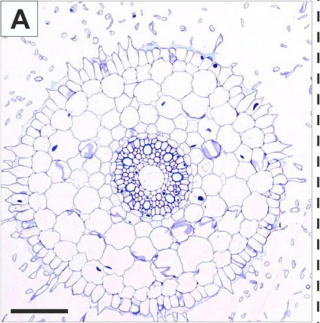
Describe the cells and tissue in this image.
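This is a cross section of a root showing rhizodermis, cortex and a central vascular cylinder, all stained in shades of blue. The outer layer of small cells has some cells bulging outward as hair-like outgrowths beside flat ones. Inside lie several layers of large, rounded, thin-walled cortical cells with small spaces between them. At the centre a compact, more darkly stained cylinder holds a ring of thick-walled vessels around one large central vessel.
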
